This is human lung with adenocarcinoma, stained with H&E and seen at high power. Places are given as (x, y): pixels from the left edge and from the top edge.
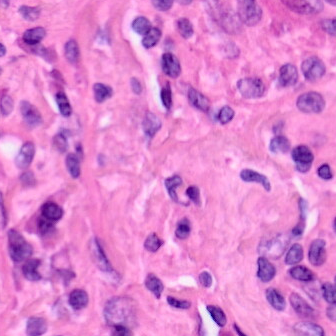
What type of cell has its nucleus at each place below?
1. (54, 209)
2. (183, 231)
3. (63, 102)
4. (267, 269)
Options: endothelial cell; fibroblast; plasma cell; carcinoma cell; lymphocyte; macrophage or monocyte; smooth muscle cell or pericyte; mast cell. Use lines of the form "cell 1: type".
cell 1: plasma cell
cell 2: lymphocyte
cell 3: plasma cell
cell 4: lymphocyte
